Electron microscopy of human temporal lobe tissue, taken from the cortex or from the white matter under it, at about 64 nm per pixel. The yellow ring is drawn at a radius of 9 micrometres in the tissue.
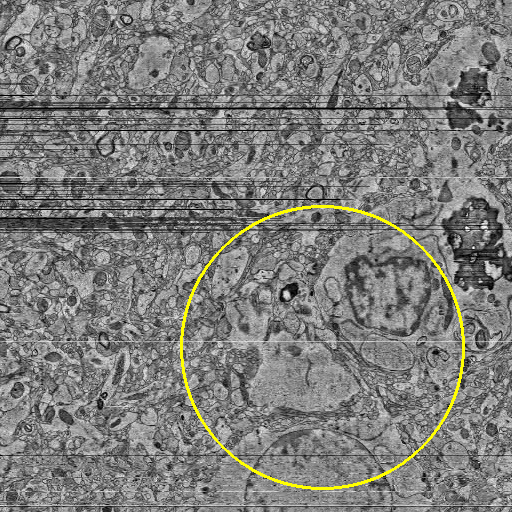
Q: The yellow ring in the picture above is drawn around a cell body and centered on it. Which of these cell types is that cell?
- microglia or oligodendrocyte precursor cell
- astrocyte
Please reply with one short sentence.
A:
The cell body at the ring's center belongs to a microglial cell or oligodendrocyte precursor cell.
